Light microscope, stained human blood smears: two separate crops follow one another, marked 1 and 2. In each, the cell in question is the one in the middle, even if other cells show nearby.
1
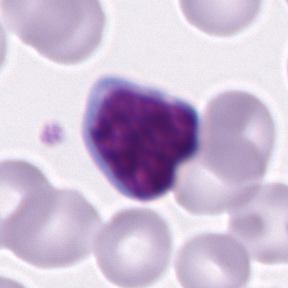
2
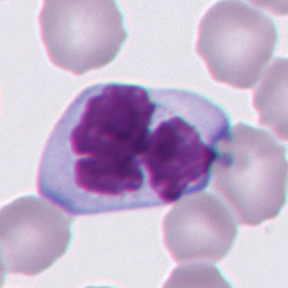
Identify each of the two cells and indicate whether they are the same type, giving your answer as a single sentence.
Yes, both crops here show typical lymphocytes, the pair of them.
